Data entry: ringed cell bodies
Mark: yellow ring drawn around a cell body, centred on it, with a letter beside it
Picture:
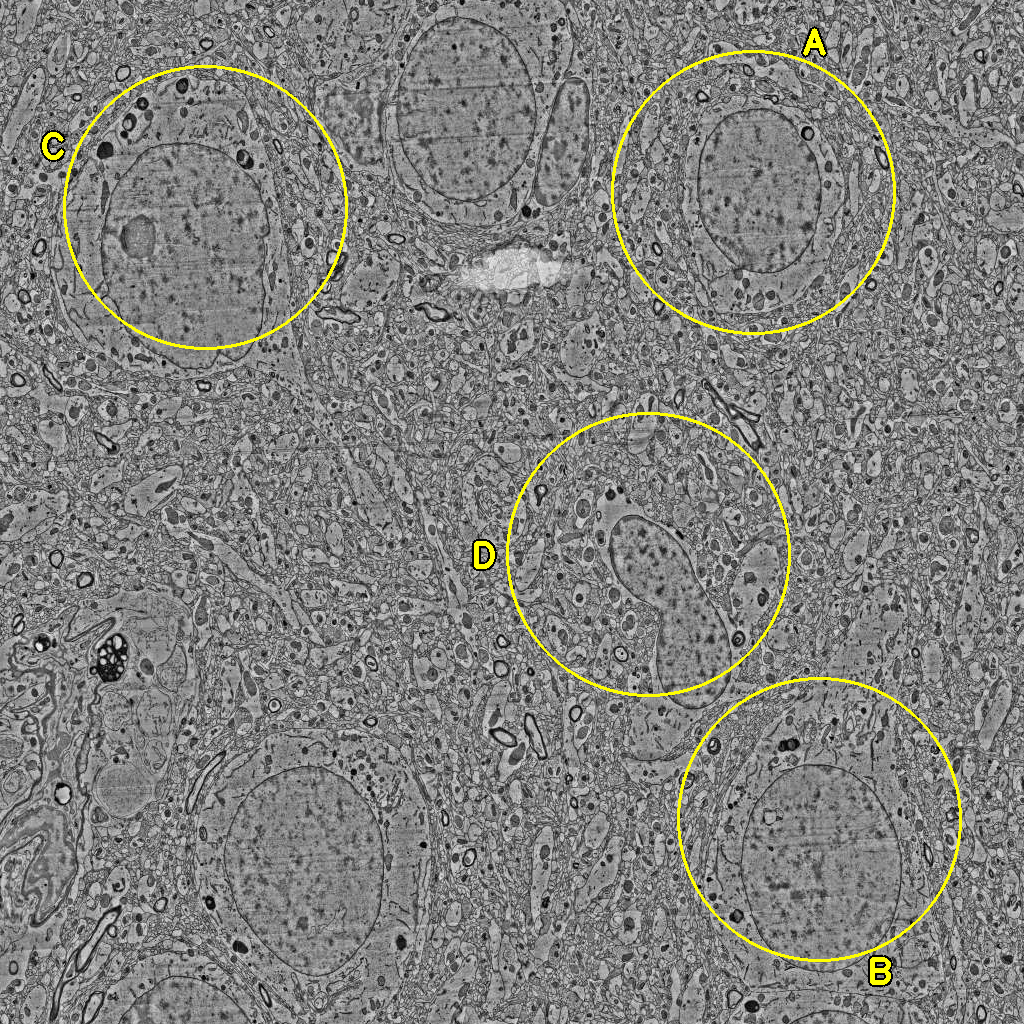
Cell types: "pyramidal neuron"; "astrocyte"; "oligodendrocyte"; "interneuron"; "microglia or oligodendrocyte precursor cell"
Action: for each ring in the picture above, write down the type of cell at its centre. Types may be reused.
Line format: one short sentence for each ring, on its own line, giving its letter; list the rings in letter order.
For ring A, the cell at the centre is a pyramidal neuron.
For ring B, the cell at the centre is a pyramidal neuron.
For ring C, the cell at the centre is a pyramidal neuron.
For ring D, the cell at the centre is a microglial cell or oligodendrocyte precursor cell.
